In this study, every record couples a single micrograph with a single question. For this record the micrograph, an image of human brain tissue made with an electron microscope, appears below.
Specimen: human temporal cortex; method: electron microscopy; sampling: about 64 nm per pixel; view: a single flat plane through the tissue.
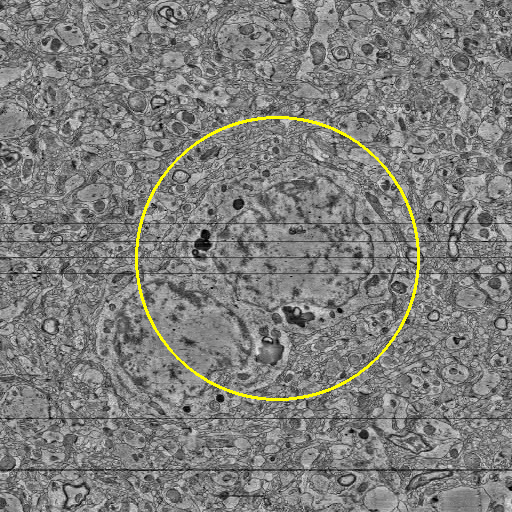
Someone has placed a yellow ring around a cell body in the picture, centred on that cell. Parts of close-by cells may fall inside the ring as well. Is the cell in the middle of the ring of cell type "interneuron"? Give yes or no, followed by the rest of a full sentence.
Yes, the cell centred in the ring shown in the picture does have that cell type.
